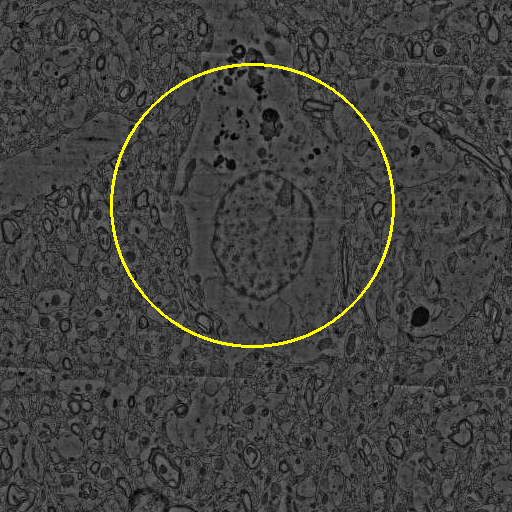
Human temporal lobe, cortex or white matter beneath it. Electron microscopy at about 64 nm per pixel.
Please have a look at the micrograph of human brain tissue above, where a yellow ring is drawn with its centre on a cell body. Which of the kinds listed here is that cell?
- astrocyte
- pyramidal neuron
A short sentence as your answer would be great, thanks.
At the centre of the ring sits an astrocyte.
